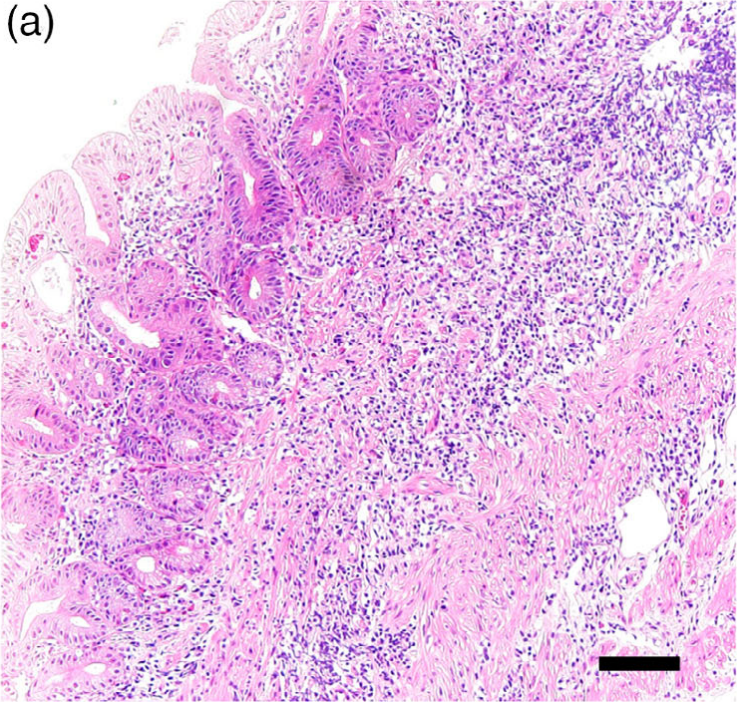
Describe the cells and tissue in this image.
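Gastric mucosa at low power with a surface of tall pale columnar epithelium and underlying glands cut in cross-section. The lamina propria and deeper stroma are densely filled by small dark-nucleated inflammatory cells, with pink bundles of smooth muscle toward the lower right. No thick band of pink collagen lies beneath the surface epithelium.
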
